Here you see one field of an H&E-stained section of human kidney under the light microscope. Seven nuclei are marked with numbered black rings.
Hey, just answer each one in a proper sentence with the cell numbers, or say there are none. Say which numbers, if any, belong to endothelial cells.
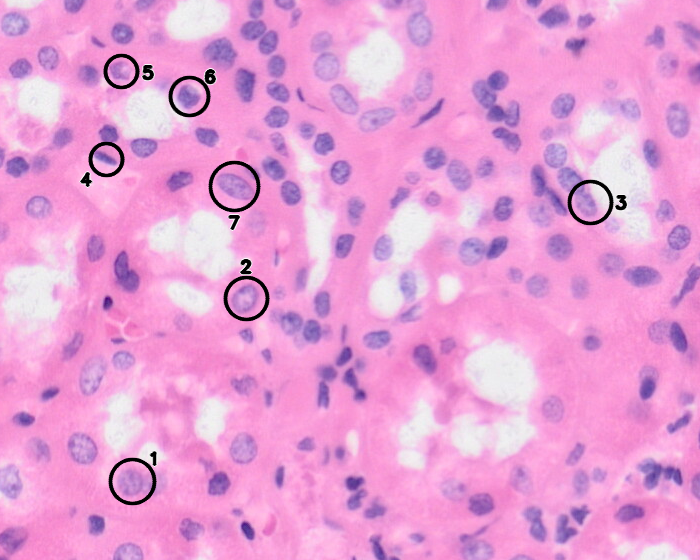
Whereas cell 4 is an endothelial cell, the other numbered cells are not.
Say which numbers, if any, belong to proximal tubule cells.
The numbers 1, 2 and 7 refer to cells that are proximal tubule cells.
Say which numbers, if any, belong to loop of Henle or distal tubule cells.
The cells tagged 5 and 6 are loop of Henle or distal tubule cells in this tissue section.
